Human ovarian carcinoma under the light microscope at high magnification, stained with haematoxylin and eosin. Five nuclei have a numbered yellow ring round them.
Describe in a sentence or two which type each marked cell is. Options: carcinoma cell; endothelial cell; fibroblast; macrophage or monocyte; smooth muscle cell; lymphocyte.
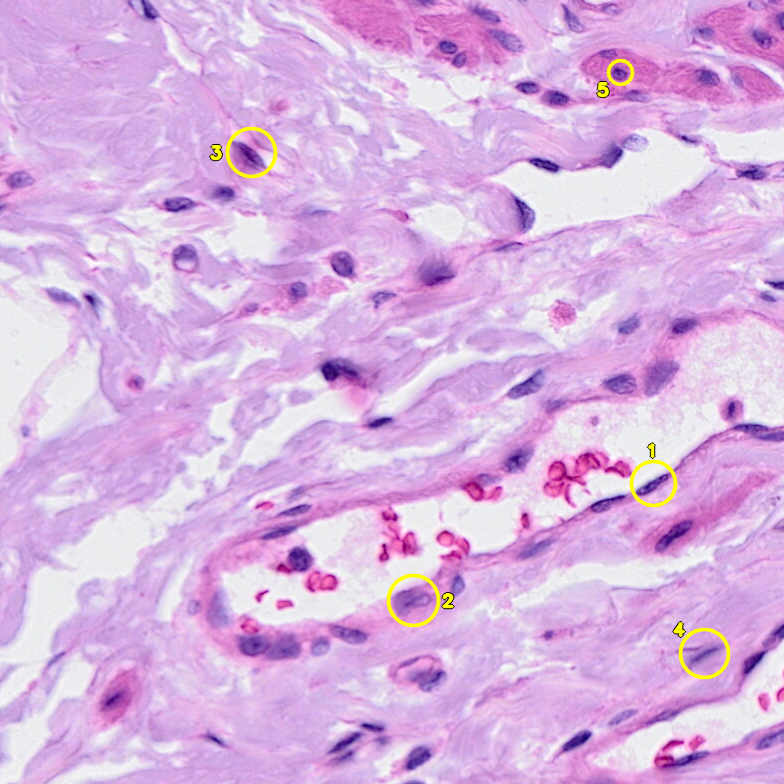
Cells 1, 2 and 3 are endothelial cells. Cell 4 is a fibroblast. Cell 5 is a smooth muscle cell.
